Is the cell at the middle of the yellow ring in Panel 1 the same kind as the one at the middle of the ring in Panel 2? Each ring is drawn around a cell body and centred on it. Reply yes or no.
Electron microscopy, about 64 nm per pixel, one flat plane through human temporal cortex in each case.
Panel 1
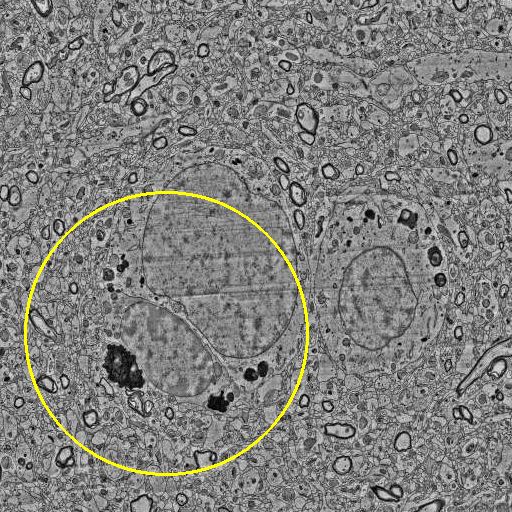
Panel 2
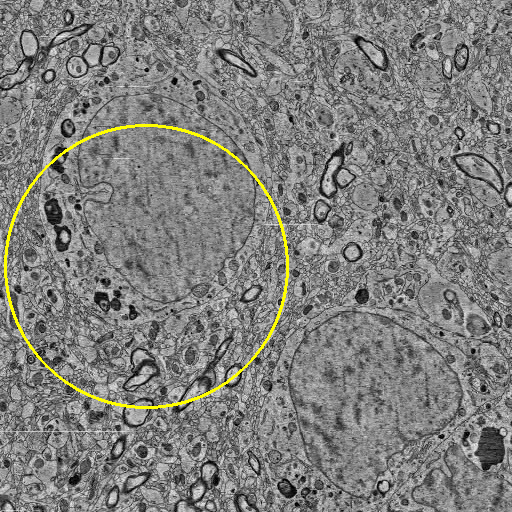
no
